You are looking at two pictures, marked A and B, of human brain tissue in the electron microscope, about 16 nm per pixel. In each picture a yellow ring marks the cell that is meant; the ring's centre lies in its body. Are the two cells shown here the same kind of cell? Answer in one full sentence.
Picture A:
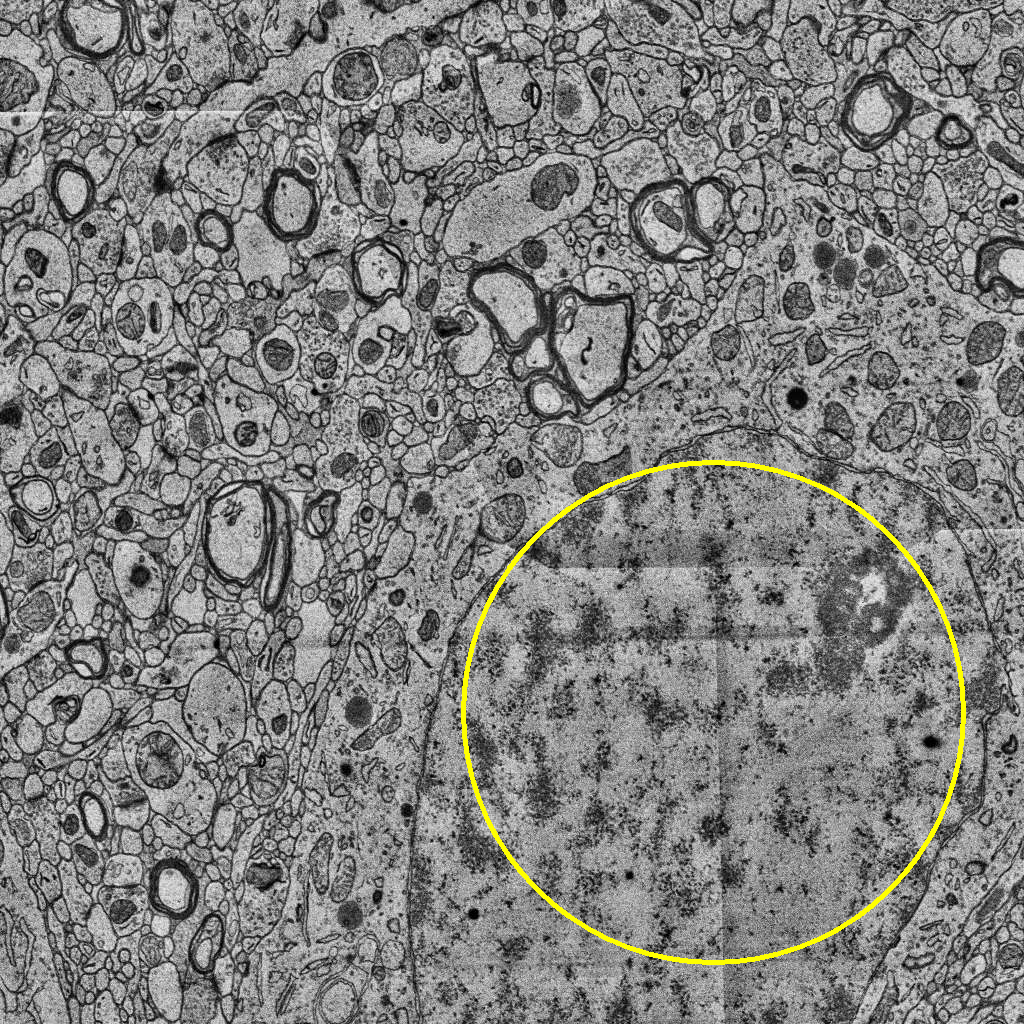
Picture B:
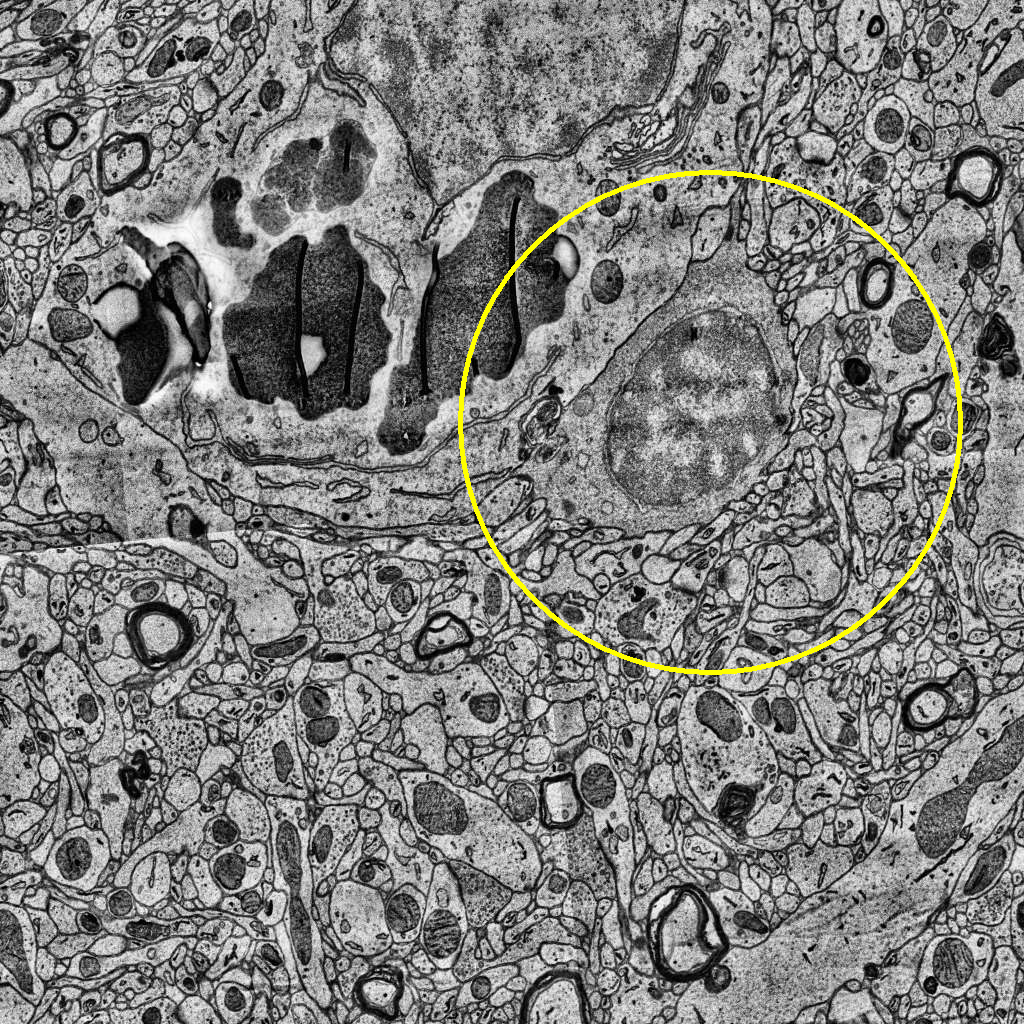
No, the types are not the same, since picture A shows an interneuron and picture B an oligodendrocyte.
